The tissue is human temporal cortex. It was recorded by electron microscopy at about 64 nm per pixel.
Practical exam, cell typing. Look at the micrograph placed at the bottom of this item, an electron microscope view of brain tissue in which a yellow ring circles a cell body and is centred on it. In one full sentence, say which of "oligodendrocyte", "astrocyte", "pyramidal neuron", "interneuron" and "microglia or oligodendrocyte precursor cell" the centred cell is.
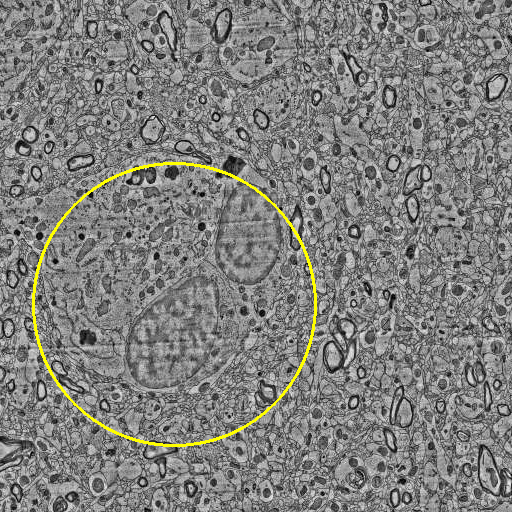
Given the options, an oligodendrocyte fits the cell whose body the yellow ring is centred on.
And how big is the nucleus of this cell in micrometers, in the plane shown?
In this plane, the nucleus is roughly 8 by 5 micrometres.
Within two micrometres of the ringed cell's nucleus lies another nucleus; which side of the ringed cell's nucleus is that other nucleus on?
That nucleus lies to the upper right of it.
